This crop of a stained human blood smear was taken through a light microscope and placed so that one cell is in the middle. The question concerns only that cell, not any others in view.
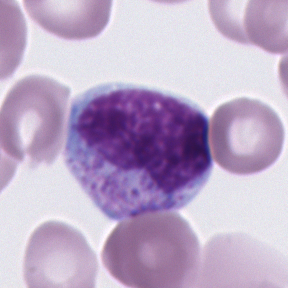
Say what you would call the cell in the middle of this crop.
myelocyte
